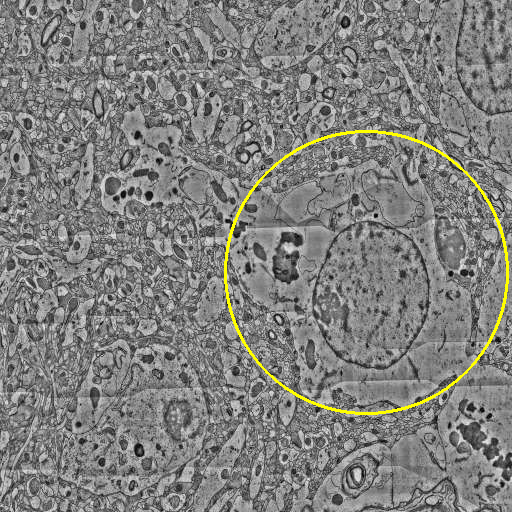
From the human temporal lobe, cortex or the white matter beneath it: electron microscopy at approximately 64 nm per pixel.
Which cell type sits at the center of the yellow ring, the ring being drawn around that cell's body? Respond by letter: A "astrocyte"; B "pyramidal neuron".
A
